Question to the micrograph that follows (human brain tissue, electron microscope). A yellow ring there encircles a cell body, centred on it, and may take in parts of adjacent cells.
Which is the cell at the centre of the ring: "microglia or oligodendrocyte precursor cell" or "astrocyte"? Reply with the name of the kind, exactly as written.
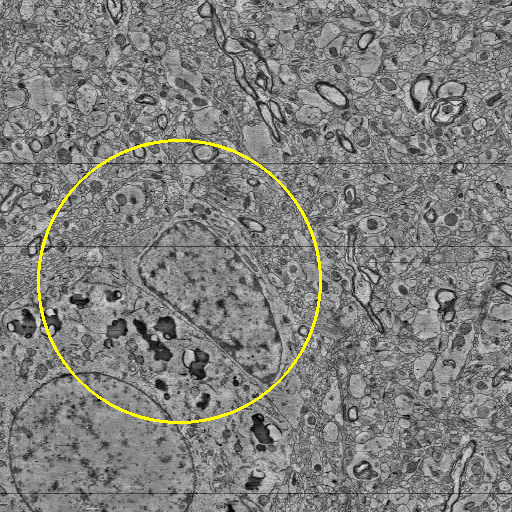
microglia or oligodendrocyte precursor cell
